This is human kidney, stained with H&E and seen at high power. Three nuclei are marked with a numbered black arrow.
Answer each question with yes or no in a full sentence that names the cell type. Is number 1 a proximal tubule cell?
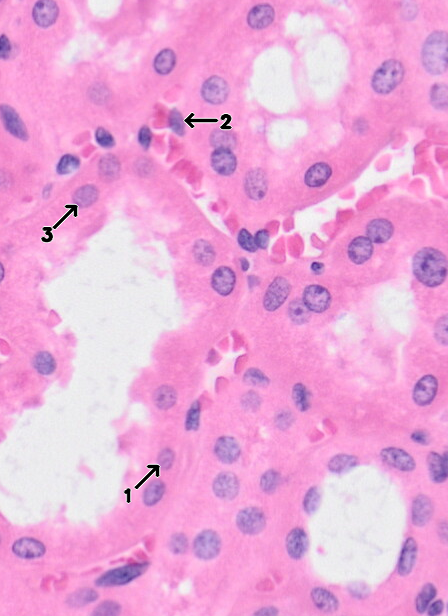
Yes, regarding cell number 1, it is a proximal tubule cell.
